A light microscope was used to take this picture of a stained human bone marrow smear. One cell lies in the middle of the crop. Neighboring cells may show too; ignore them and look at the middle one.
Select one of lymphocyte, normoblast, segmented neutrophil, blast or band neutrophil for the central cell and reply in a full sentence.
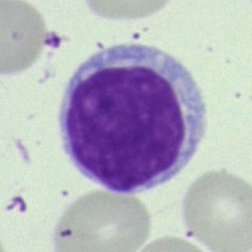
The cell featured at the centre of this crop is a lymphocyte.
